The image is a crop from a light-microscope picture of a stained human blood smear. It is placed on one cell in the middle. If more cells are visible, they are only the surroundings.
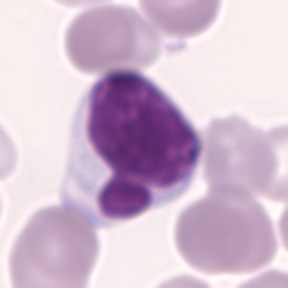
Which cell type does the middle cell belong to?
large granular lymphocyte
